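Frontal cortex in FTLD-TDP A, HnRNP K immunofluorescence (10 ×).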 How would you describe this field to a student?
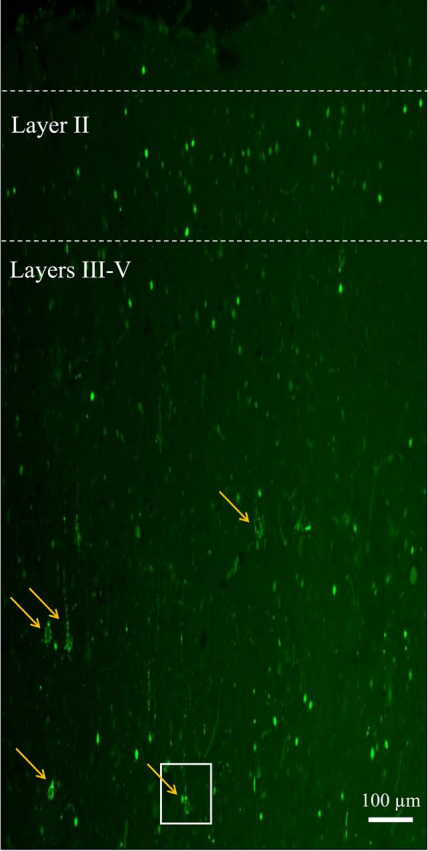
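Deeper down, compact green nuclei are more sparsely scattered, with faint fibre-like streaks between them. Here and there in the deep layers, a few larger neurons show a coarse, speckled green signal spread through an angular cell body instead of a single compact nucleus.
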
